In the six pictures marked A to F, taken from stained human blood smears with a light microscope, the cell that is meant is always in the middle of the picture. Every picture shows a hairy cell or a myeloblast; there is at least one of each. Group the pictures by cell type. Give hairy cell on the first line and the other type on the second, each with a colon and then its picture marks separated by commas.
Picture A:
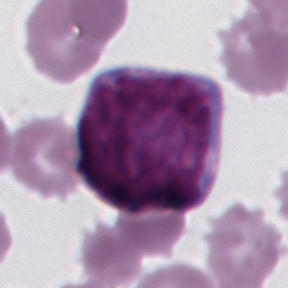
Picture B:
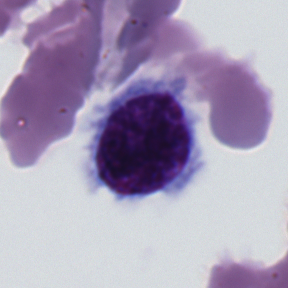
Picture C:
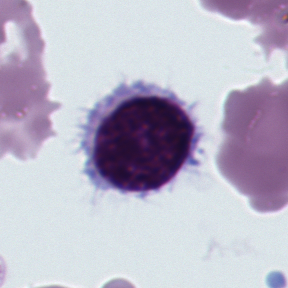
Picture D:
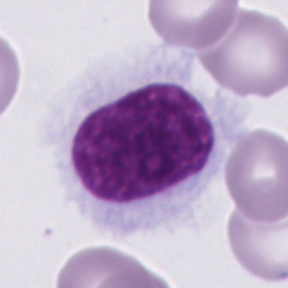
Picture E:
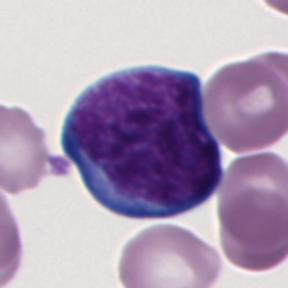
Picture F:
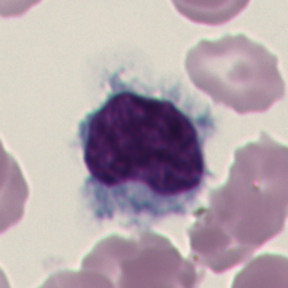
hairy cell: B, C, D, F
myeloblast: A, E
